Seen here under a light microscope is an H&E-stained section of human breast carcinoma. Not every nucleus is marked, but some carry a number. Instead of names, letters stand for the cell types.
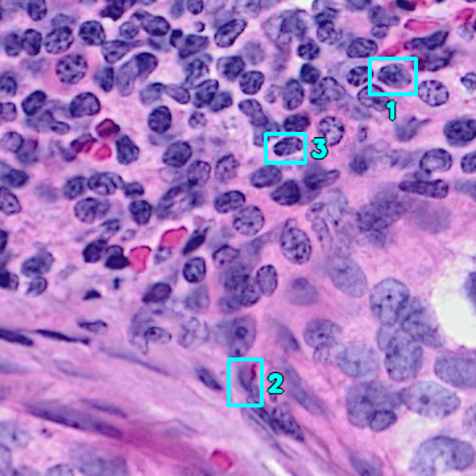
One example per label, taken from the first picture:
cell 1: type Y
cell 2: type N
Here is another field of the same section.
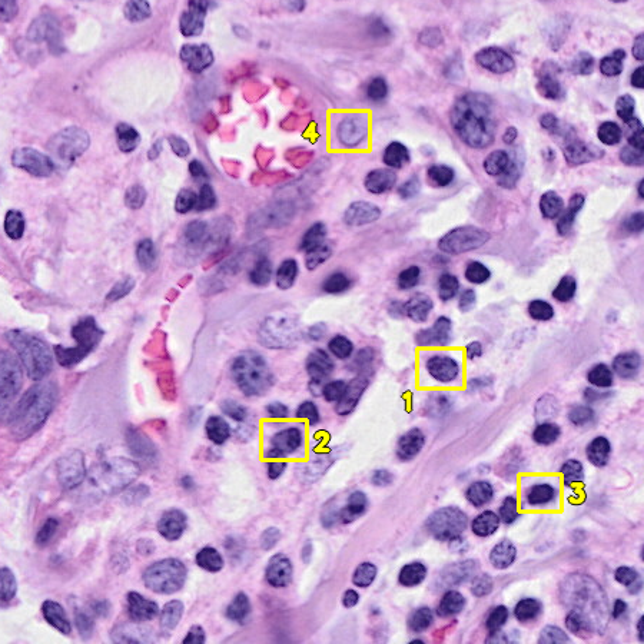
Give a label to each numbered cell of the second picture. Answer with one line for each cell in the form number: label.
1: type Y
2: type Y
3: type Y
4: type N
